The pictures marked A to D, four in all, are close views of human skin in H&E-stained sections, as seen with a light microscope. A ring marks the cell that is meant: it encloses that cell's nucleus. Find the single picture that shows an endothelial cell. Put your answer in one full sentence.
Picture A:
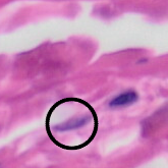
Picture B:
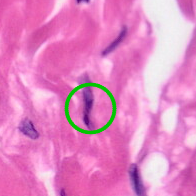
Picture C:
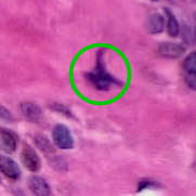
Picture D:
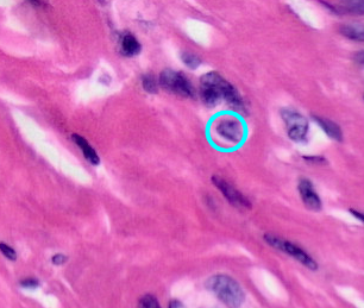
The picture with the endothelial cell is D.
